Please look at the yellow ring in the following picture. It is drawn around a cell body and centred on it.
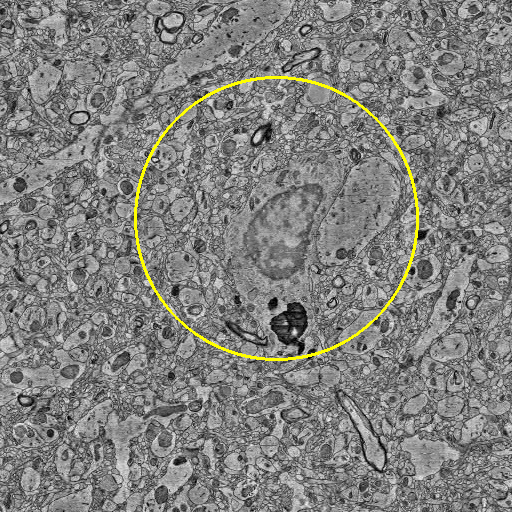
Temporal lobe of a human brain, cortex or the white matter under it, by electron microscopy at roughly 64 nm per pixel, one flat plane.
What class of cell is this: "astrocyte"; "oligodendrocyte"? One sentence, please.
The ring surrounds the cell body of an oligodendrocyte.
